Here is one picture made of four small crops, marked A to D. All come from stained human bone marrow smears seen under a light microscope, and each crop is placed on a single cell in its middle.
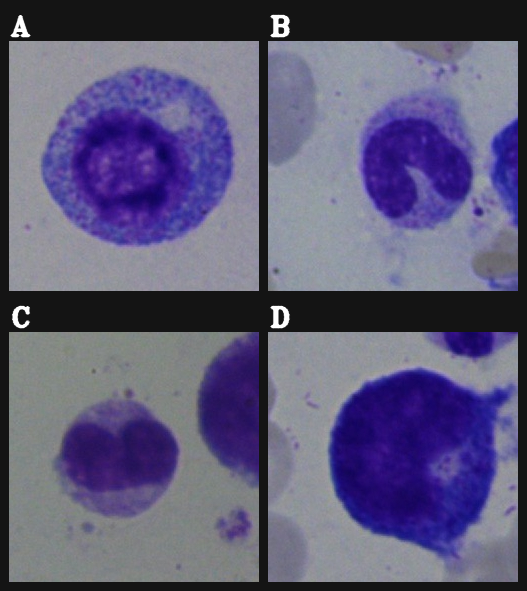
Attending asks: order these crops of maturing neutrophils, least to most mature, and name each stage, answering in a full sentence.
The progression from least to most mature runs crop D (a promyelocyte), crop A (a myelocyte), crop C (a metamyelocyte) and crop B (a band neutrophil).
